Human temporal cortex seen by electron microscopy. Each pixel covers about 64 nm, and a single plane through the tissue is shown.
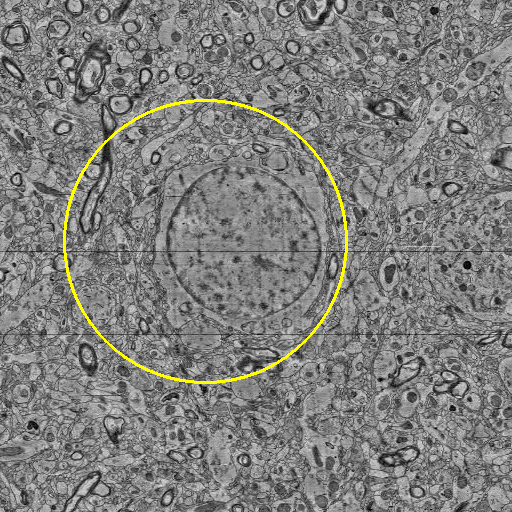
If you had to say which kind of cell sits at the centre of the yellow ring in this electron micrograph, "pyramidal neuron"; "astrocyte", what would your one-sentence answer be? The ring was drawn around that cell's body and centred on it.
The cell sitting at the centre of the ring is an astrocyte.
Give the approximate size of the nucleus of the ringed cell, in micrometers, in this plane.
The nucleus appears about 10 micrometres across in this plane.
